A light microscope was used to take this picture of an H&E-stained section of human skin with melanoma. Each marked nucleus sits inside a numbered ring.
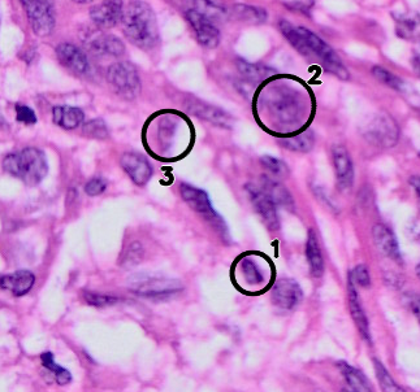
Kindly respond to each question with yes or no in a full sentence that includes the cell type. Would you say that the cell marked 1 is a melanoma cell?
No, not a melanoma cell: the cell with number 1 is a macrophage or monocyte.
